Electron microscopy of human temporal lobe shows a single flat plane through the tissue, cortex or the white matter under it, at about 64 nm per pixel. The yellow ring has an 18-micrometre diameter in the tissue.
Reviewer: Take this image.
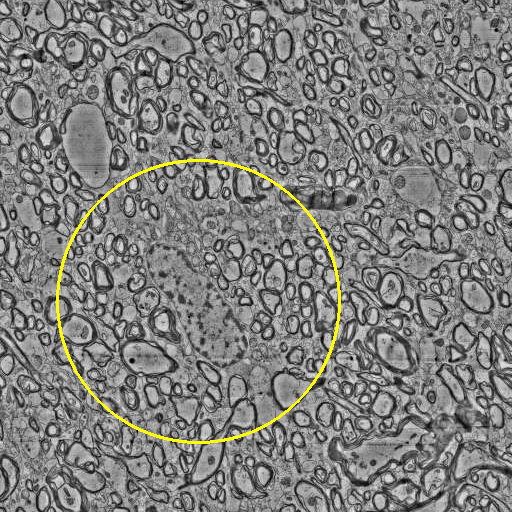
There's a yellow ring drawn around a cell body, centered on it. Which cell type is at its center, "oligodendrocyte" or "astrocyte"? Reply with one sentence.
At the center of the yellow ring is an astrocyte.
